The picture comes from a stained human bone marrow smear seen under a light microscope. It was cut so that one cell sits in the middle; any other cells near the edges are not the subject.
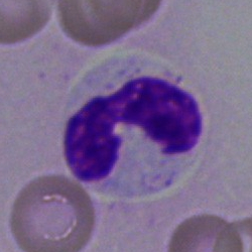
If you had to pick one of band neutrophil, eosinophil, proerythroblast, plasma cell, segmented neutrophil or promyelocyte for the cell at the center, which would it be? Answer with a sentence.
The cell that lies at the centre of the crop is a segmented neutrophil.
